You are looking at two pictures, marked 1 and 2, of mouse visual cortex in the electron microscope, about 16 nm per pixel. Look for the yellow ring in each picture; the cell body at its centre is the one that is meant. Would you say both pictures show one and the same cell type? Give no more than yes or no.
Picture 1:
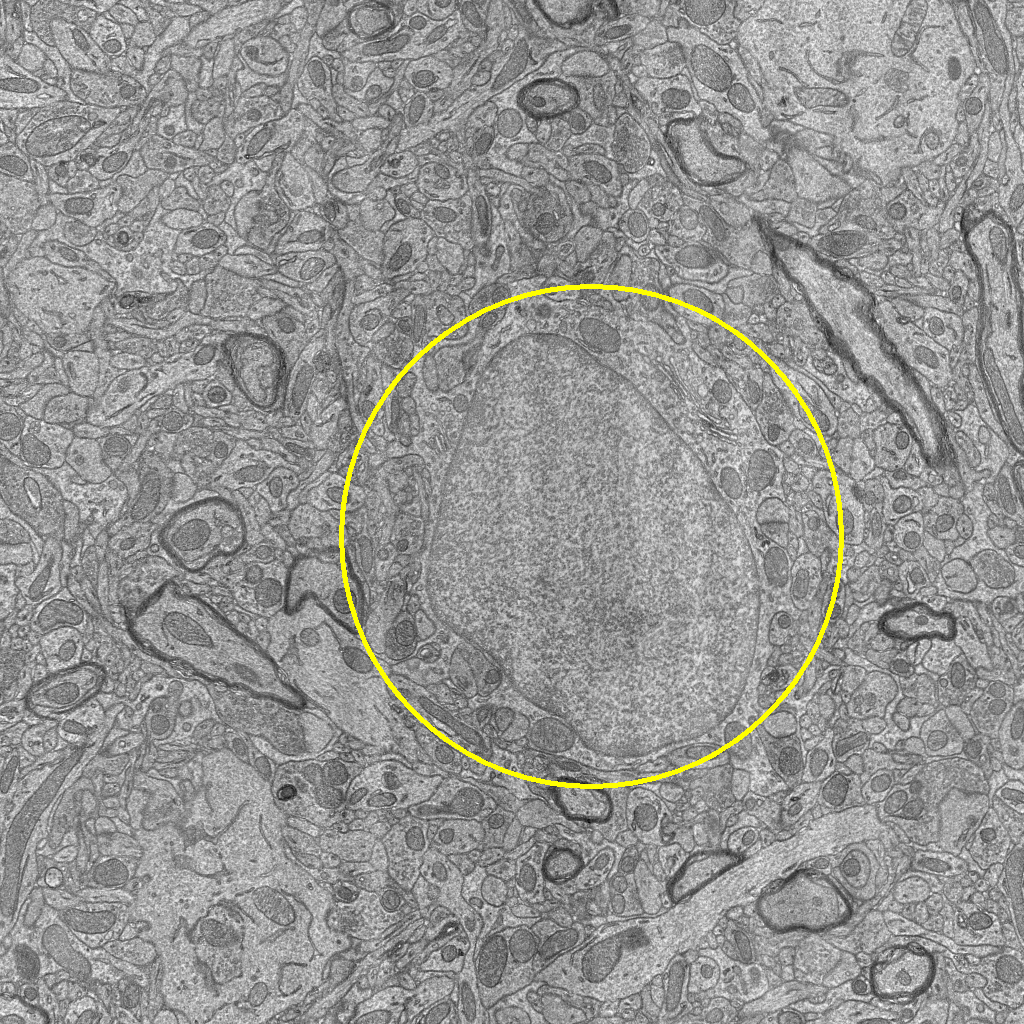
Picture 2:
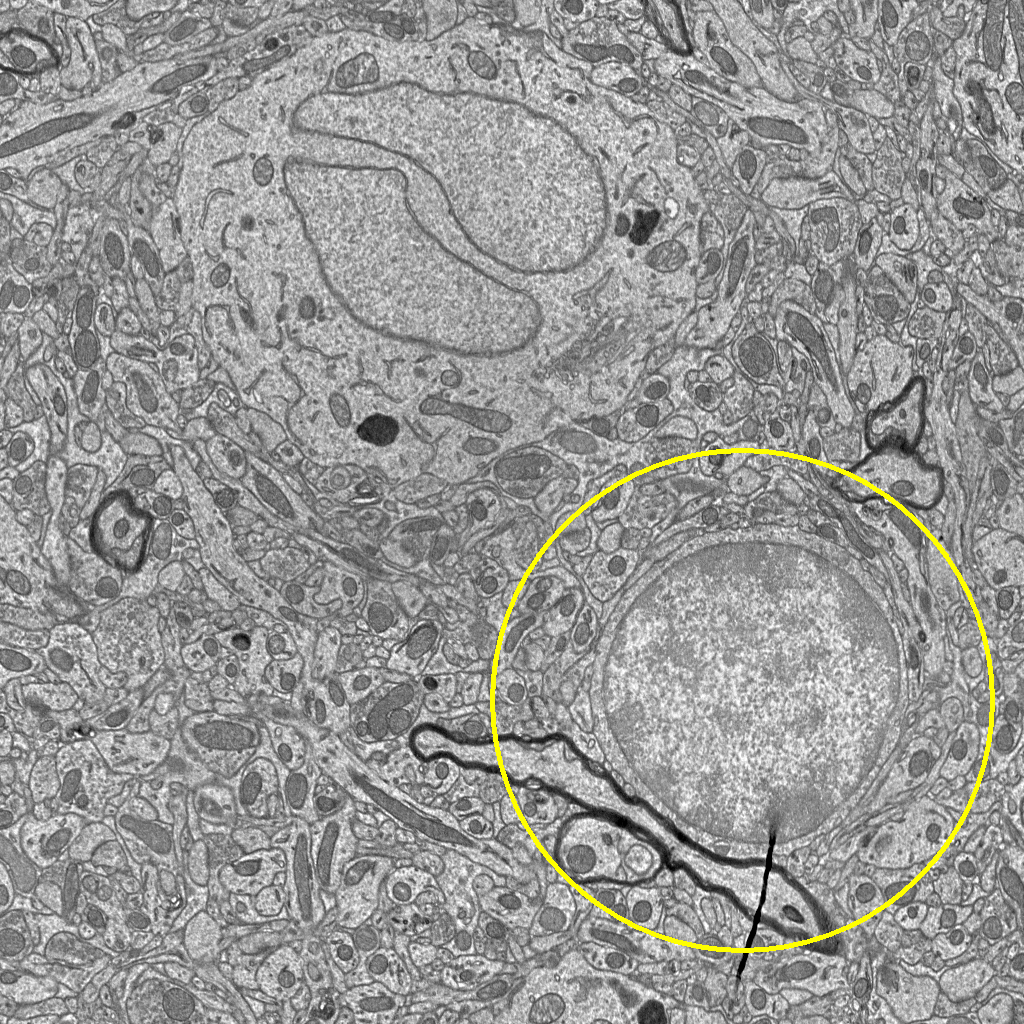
no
